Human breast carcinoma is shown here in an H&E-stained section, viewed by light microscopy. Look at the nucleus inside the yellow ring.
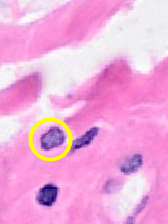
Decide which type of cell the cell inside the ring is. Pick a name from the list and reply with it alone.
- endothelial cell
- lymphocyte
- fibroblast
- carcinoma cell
lymphocyte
